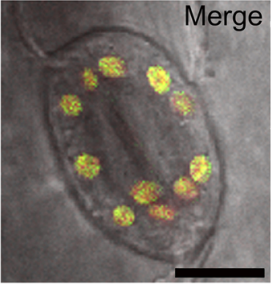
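A pair of guard cells forming a stoma is seen in bright-field, the two bean-shaped cells together making an oval outline with a narrow slit-like pore running down the middle. Around the periphery of the pair, roughly a dozen small oval chloroplasts are spaced in a ring, lying close to the outer walls. Each chloroplast glows yellow where green and red fluorescence overlap, so the green signal sits on the same bodies as the red. Little green fluorescence is visible elsewhere in the cytoplasm or along the pore.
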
